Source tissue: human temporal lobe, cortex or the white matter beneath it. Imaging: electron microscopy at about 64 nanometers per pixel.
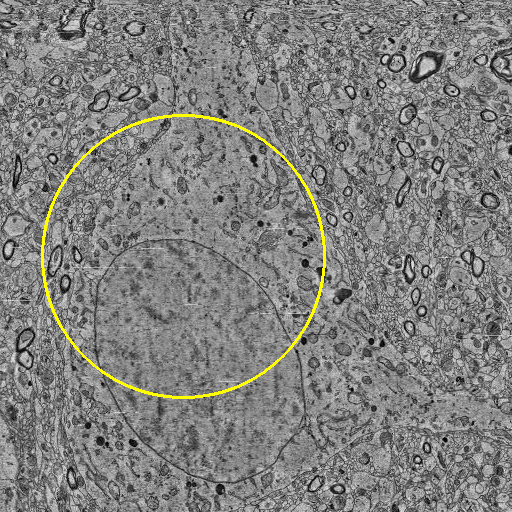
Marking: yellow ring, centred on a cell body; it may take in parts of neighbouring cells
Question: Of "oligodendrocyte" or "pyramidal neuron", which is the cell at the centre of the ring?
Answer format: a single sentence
The ring surrounds the body of a pyramidal neuron.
